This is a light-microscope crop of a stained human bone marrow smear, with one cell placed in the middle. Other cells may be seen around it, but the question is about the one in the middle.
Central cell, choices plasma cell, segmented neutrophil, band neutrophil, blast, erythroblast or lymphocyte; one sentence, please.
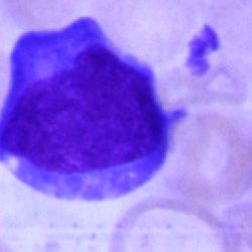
Here the centrally located cell is a blast.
